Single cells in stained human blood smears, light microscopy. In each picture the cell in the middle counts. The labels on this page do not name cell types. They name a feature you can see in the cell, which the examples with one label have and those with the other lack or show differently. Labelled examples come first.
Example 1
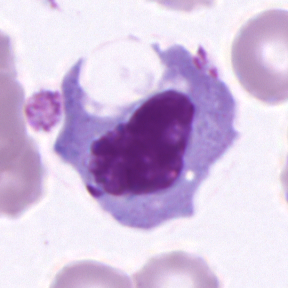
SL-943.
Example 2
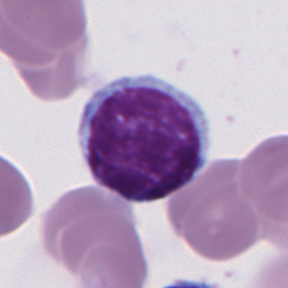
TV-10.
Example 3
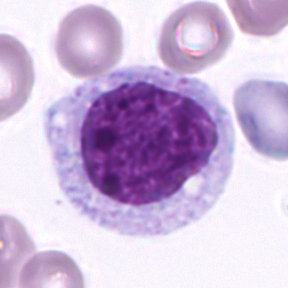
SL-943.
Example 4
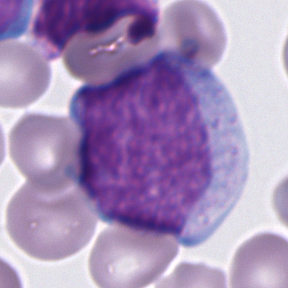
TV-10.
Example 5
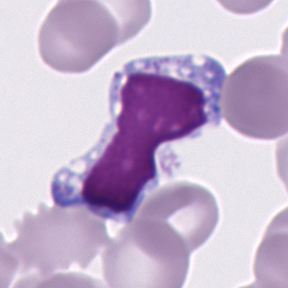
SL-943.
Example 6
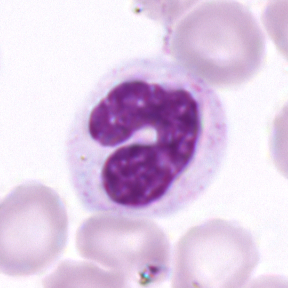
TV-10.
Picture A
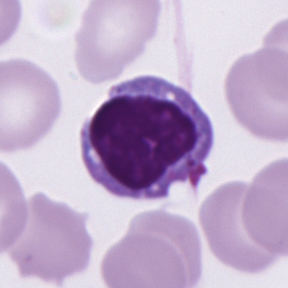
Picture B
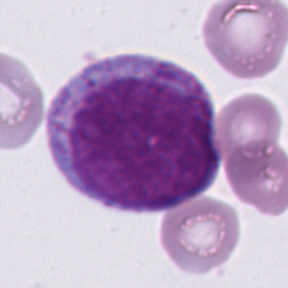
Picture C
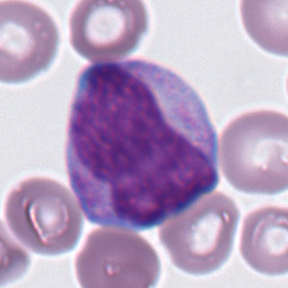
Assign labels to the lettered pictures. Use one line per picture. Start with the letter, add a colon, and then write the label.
A: SL-943.
B: TV-10.
C: TV-10.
